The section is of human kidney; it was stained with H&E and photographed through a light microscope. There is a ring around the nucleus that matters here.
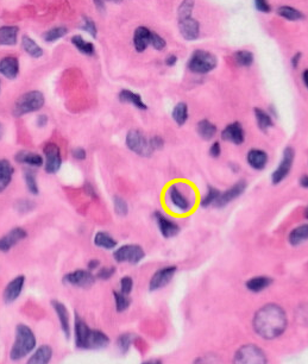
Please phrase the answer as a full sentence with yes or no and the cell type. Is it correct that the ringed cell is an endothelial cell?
Yes, the ringed cell is an endothelial cell; nothing to add.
